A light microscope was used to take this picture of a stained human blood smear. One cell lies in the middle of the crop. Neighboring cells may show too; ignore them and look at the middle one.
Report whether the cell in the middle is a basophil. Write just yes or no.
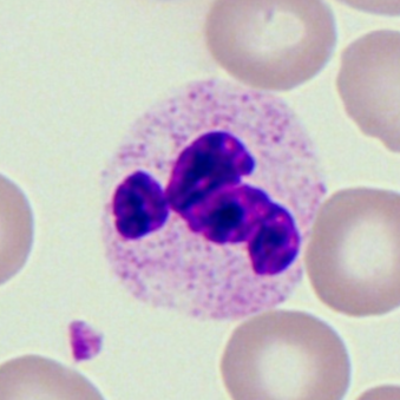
no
